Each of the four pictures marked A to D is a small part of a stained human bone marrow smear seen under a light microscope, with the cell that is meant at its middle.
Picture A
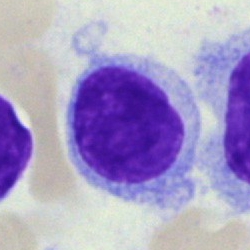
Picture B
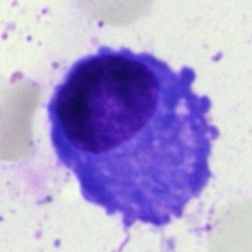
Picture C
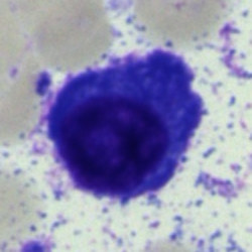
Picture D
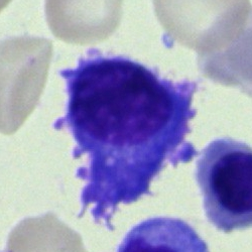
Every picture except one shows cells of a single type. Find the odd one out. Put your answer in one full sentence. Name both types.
Picture A differs, because its cell is a hairy cell and the rest are plasma cells.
